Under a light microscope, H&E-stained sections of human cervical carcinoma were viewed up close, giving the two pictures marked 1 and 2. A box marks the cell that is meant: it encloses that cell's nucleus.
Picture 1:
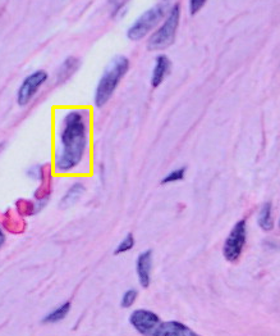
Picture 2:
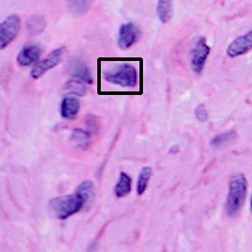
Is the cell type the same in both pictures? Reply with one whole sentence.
No, picture 1 shows an endothelial cell and picture 2 shows a fibroblast.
